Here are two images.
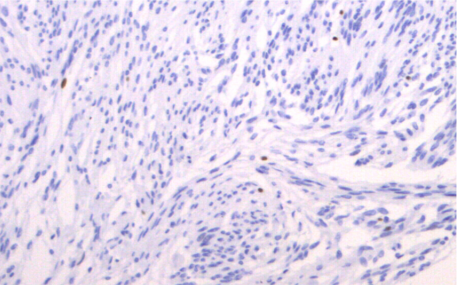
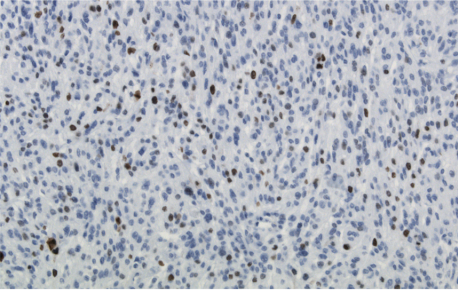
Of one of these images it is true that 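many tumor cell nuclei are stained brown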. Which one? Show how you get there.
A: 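Second image: numerous scattered nuclei are stained dark brown among blue nuclei. First image: only a few isolated nuclei are brown, nearly all are blue.
Hence: the second image.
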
